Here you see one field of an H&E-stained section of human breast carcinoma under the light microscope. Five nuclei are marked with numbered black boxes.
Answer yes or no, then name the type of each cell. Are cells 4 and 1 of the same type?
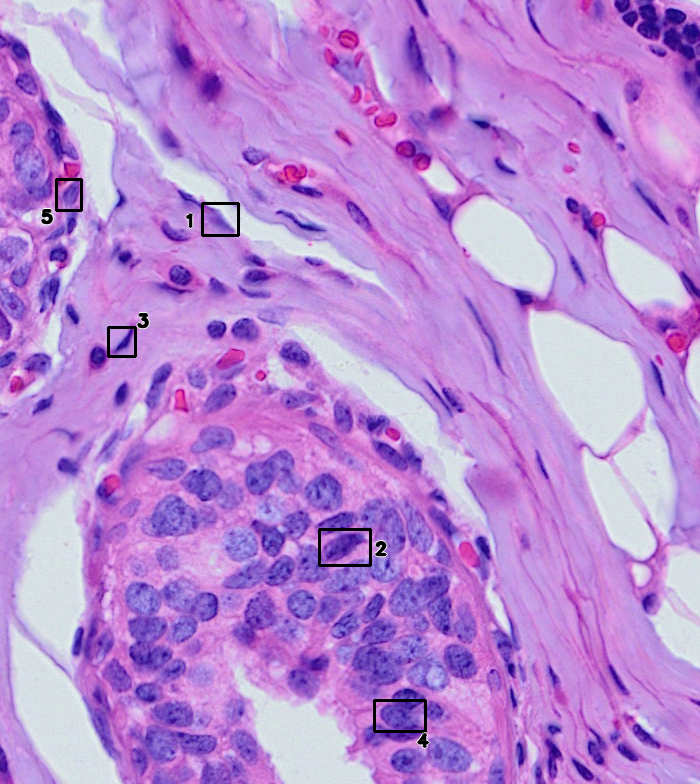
No, cell 4 here is a carcinoma cell, and cell 1 here is a fibroblast.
